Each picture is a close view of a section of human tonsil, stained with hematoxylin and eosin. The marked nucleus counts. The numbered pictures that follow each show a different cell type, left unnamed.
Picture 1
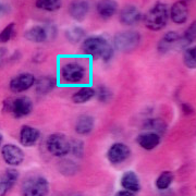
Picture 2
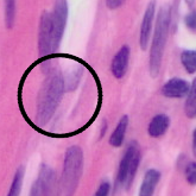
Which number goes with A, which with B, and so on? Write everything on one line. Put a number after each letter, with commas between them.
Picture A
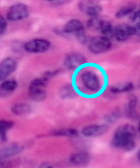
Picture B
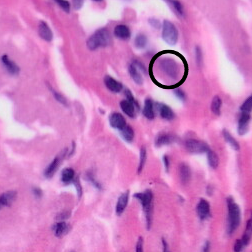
A 1, B 2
